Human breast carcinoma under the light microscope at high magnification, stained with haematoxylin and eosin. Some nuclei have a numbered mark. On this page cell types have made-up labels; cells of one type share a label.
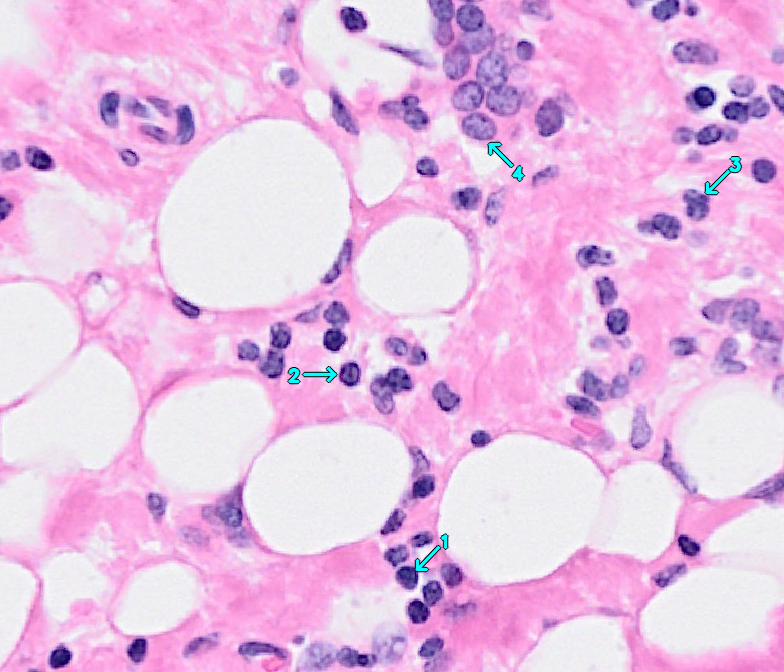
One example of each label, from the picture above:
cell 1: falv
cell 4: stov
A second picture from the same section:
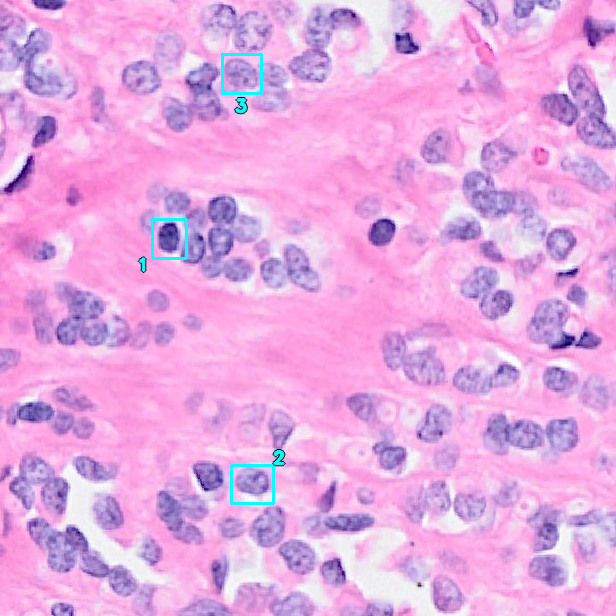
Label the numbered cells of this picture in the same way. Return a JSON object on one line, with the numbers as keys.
{"1": "falv", "2": "stov", "3": "stov"}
